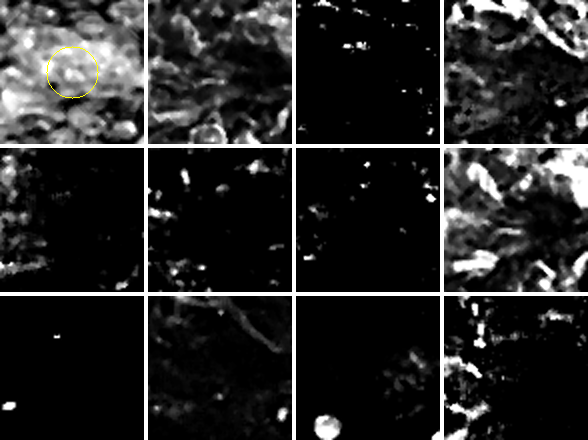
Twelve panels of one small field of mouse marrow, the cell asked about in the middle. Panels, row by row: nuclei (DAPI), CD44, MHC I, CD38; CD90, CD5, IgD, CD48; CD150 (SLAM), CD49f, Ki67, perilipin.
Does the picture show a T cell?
Yes.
